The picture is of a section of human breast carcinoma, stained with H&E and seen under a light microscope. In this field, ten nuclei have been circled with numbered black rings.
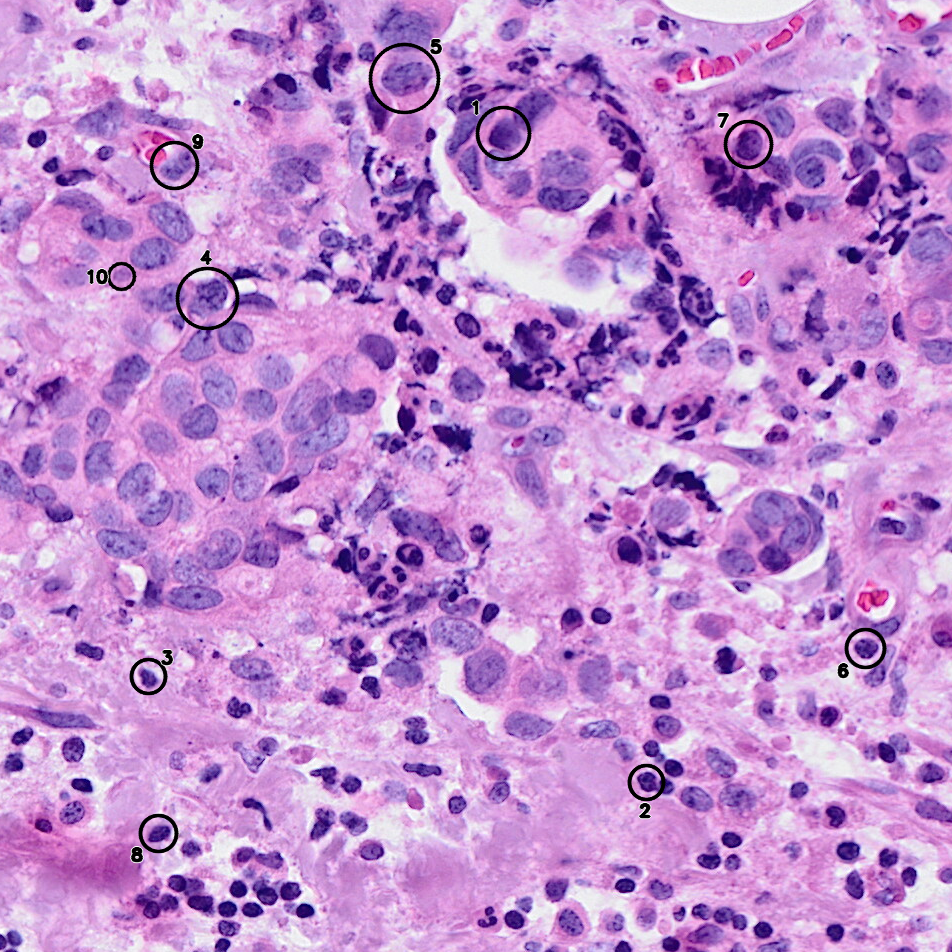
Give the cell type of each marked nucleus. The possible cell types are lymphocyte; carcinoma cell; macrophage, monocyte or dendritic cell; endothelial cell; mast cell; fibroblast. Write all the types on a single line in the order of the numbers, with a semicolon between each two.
carcinoma cell; lymphocyte; lymphocyte; carcinoma cell; carcinoma cell; lymphocyte; carcinoma cell; lymphocyte; endothelial cell; carcinoma cell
